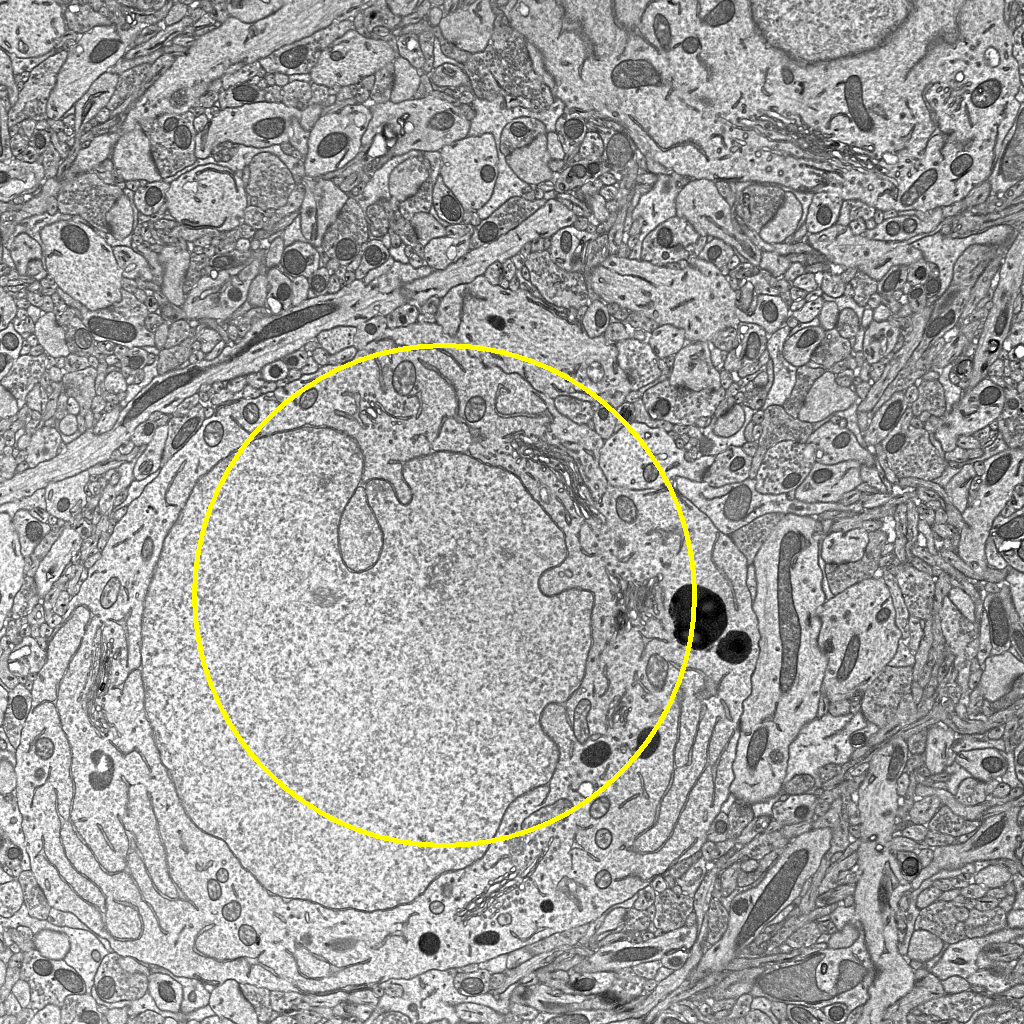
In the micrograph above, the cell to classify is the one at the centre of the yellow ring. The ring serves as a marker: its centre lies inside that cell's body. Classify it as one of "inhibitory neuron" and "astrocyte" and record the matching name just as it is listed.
inhibitory neuron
